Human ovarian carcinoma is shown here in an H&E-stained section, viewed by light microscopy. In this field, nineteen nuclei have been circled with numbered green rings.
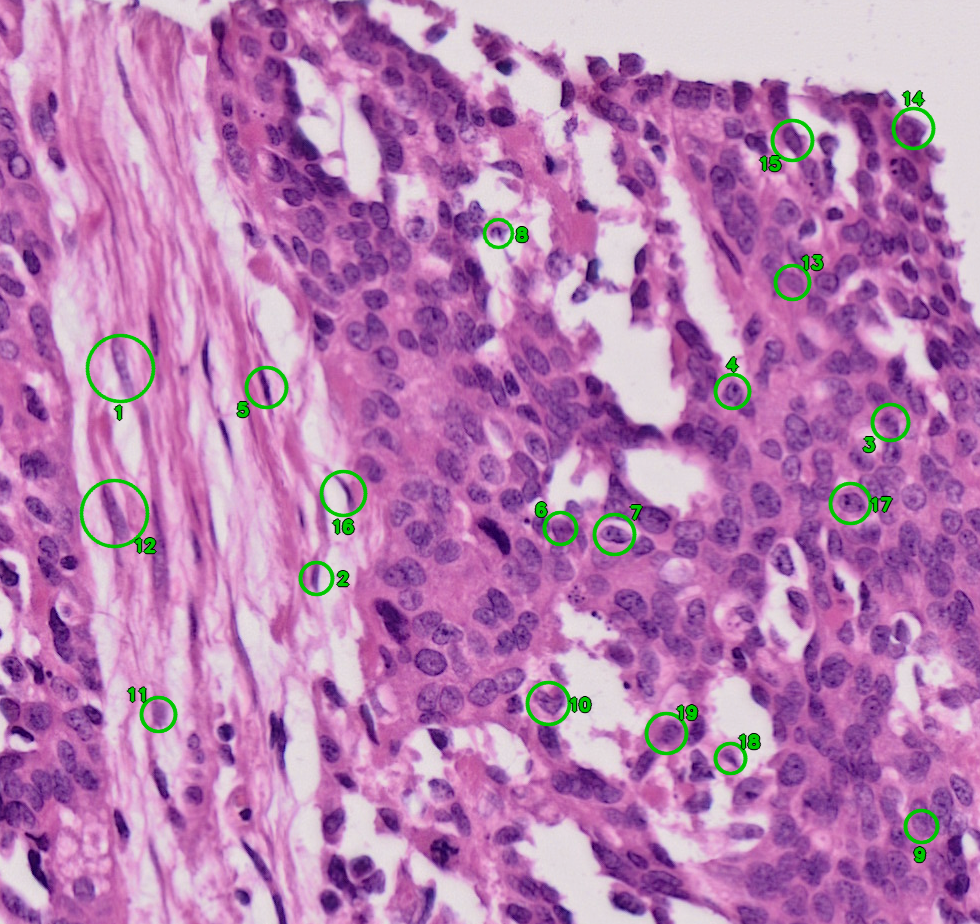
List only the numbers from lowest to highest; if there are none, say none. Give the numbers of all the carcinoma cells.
3, 6, 9, 13, 14, 15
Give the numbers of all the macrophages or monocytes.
4, 7, 8, 10, 17, 18, 19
